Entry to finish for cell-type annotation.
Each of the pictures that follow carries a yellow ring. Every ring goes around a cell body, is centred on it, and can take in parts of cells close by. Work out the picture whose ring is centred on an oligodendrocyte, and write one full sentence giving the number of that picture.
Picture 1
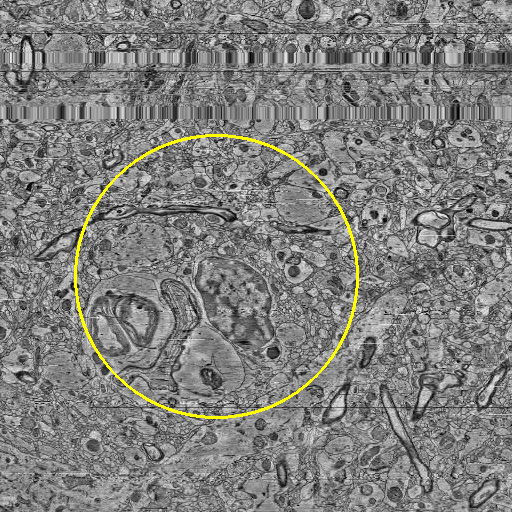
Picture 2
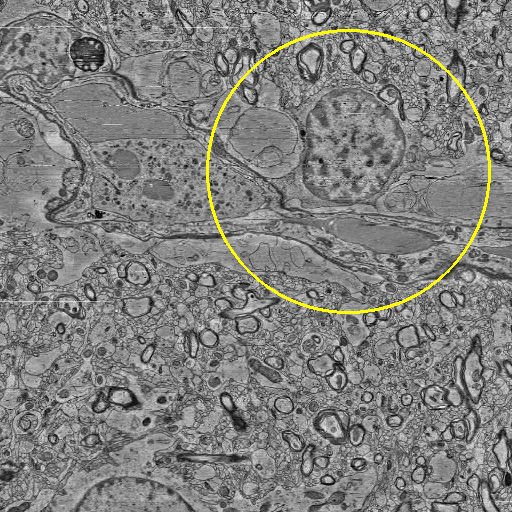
The cell at the heart of the ring in picture 2 matches the request.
